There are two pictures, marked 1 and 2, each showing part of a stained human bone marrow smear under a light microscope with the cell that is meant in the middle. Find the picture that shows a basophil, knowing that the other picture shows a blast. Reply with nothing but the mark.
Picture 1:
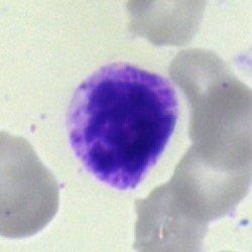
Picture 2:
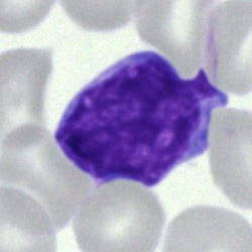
1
